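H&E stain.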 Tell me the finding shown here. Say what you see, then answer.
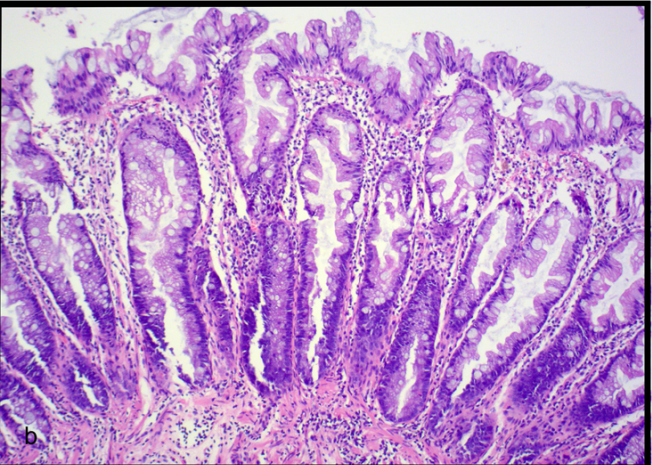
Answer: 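Superficial and crypt serration limited to the upper two-thirds. The surface epithelium and upper crypt lumens have saw-toothed, infolded outlines. The lower parts of the crypts are narrow and straight without serration. Crypts are long, parallel and evenly spaced.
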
